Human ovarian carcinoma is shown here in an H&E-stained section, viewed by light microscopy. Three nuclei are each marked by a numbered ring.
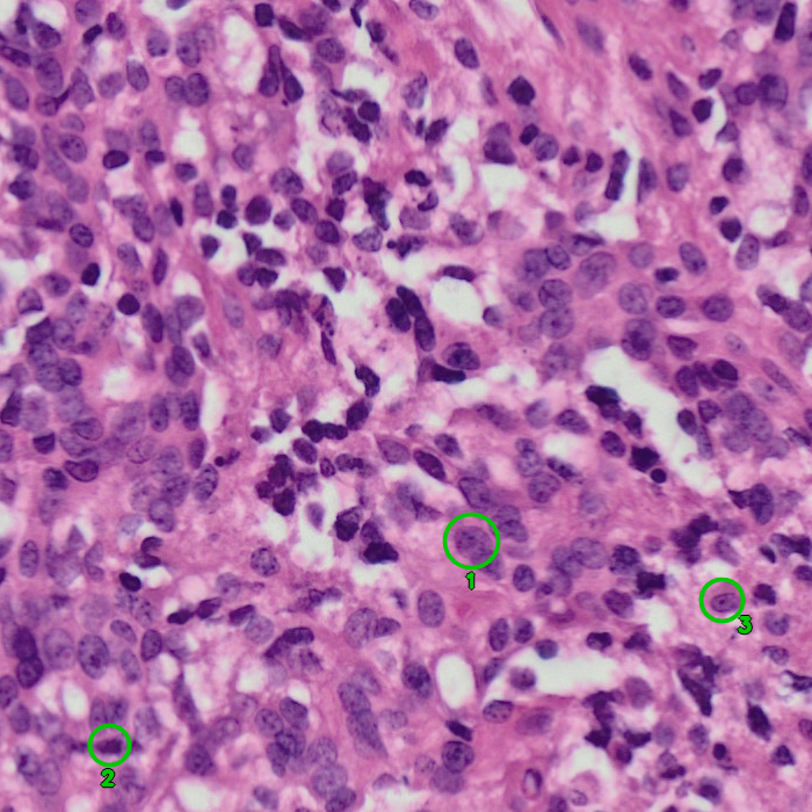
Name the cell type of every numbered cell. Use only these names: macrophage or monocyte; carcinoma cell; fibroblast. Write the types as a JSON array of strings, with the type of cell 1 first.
["carcinoma cell", "carcinoma cell", "macrophage or monocyte"]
